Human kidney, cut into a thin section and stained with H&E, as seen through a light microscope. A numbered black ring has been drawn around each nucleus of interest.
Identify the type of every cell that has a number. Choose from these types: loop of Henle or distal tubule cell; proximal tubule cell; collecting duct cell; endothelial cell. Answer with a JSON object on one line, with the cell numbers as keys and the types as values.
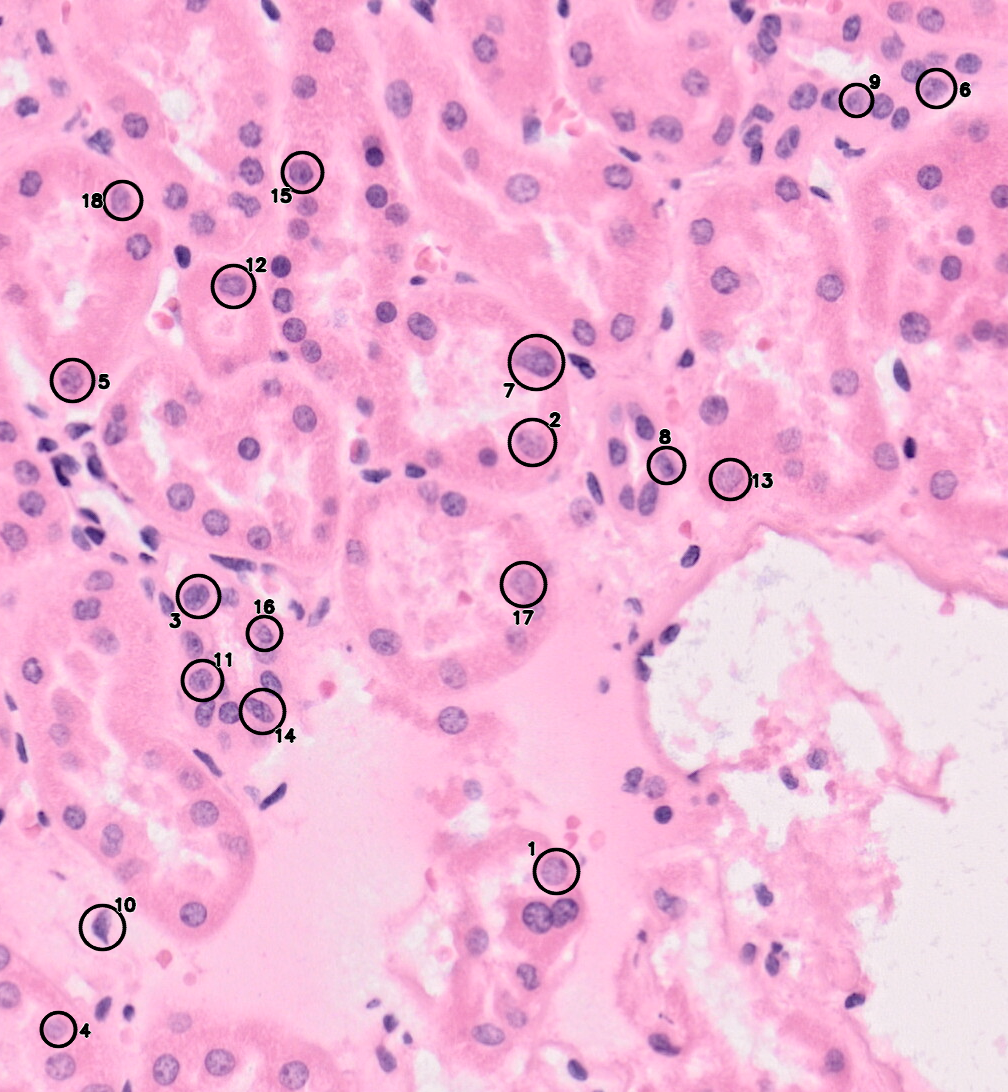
{"1": "proximal tubule cell", "2": "proximal tubule cell", "3": "collecting duct cell", "4": "proximal tubule cell", "5": "proximal tubule cell", "6": "collecting duct cell", "7": "proximal tubule cell", "8": "collecting duct cell", "9": "collecting duct cell", "10": "endothelial cell", "11": "collecting duct cell", "12": "proximal tubule cell", "13": "proximal tubule cell", "14": "collecting duct cell", "15": "proximal tubule cell", "16": "collecting duct cell", "17": "proximal tubule cell", "18": "proximal tubule cell"}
